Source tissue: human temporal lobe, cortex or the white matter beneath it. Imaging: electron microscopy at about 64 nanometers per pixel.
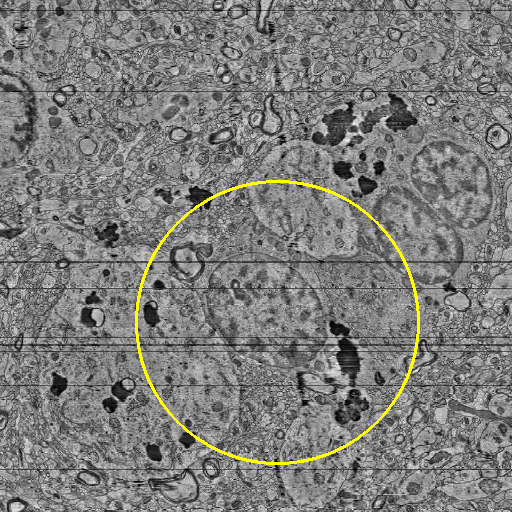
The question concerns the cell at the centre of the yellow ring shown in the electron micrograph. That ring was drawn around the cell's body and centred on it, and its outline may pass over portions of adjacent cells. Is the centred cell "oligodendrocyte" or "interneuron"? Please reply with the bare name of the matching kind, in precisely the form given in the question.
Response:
oligodendrocyte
